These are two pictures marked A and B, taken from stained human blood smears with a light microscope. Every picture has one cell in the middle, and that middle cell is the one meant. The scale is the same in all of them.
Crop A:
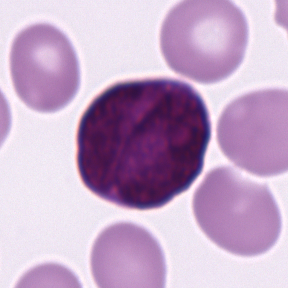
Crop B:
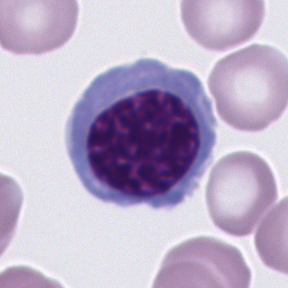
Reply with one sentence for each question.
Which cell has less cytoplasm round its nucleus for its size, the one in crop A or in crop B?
The nucleus fills more of the cell in crop A than in crop B.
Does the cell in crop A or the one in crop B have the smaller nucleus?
It is the nucleus in crop B; the one in crop A has about 1.5 times its area.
